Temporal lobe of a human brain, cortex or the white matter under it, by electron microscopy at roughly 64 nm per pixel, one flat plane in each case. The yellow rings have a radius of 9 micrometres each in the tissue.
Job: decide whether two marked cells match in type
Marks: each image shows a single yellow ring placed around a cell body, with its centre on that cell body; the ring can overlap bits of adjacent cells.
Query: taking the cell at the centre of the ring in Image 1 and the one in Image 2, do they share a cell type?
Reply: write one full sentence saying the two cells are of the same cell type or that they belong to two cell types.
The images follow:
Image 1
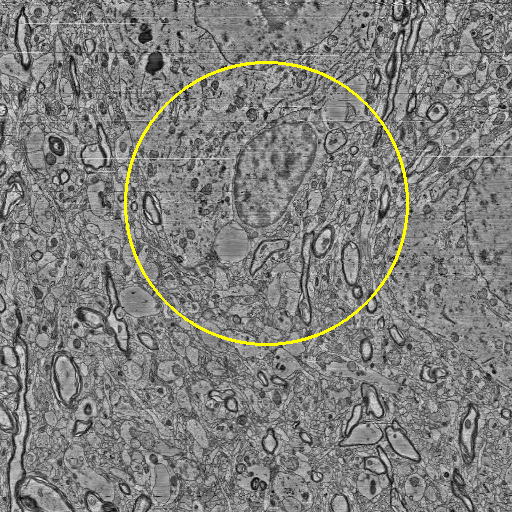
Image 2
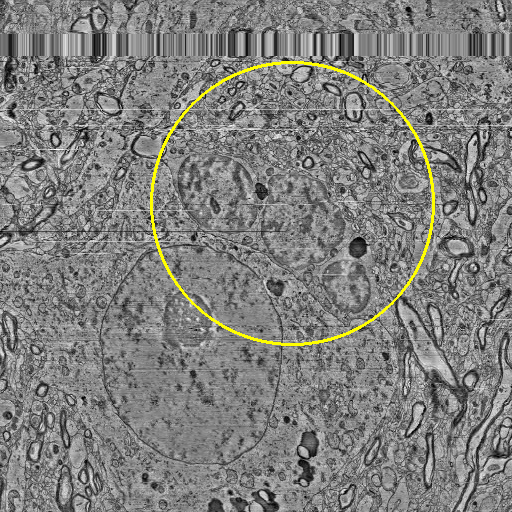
The cells at the ring centres in Image 1 and Image 2 are of the same cell type.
